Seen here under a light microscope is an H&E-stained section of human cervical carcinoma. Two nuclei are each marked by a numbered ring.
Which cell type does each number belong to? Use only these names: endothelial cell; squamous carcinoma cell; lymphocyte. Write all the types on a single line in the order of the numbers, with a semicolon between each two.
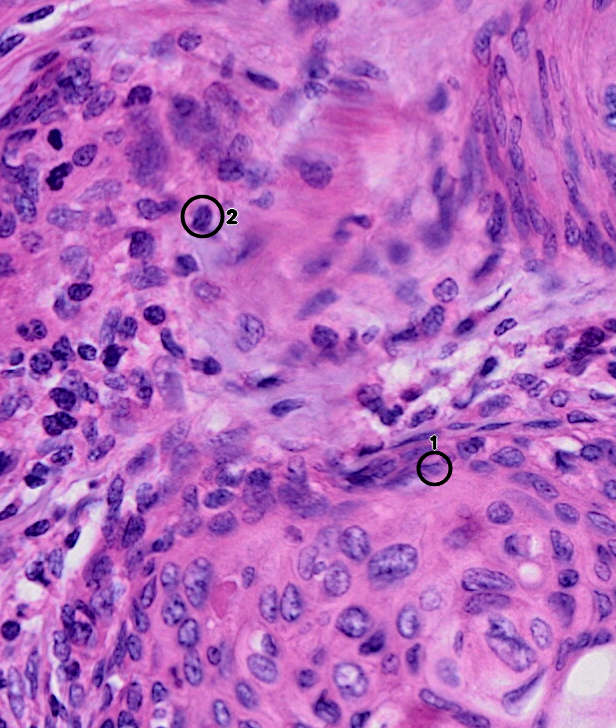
squamous carcinoma cell; lymphocyte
